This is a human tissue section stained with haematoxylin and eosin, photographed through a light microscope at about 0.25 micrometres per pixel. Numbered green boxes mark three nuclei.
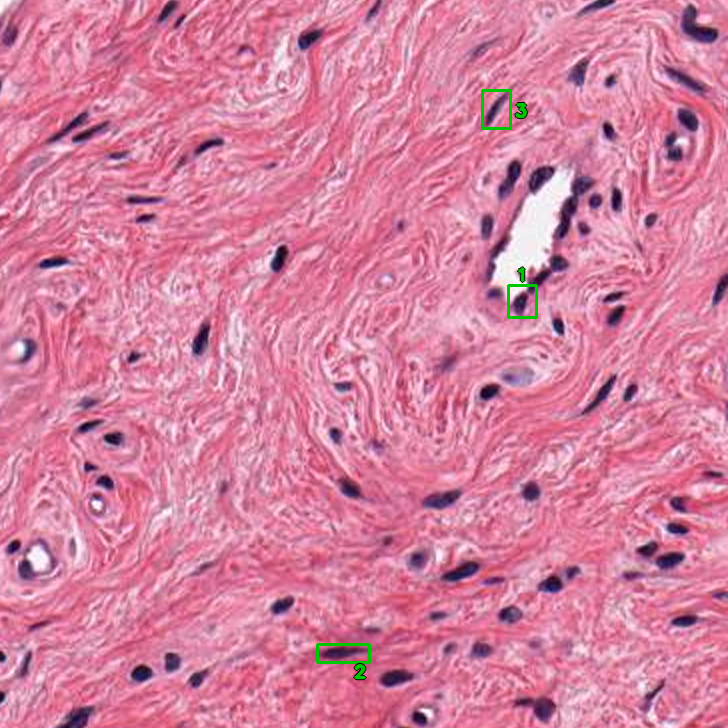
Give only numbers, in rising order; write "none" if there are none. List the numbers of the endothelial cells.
1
